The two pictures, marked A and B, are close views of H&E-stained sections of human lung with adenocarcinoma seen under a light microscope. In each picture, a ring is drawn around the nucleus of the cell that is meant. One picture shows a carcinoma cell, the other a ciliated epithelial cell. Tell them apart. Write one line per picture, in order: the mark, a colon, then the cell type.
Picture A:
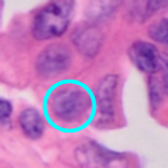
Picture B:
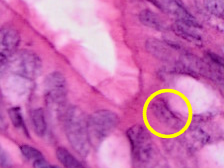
A: carcinoma cell
B: ciliated epithelial cell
